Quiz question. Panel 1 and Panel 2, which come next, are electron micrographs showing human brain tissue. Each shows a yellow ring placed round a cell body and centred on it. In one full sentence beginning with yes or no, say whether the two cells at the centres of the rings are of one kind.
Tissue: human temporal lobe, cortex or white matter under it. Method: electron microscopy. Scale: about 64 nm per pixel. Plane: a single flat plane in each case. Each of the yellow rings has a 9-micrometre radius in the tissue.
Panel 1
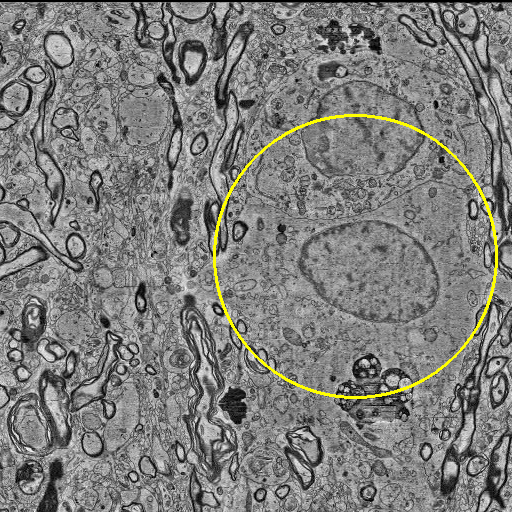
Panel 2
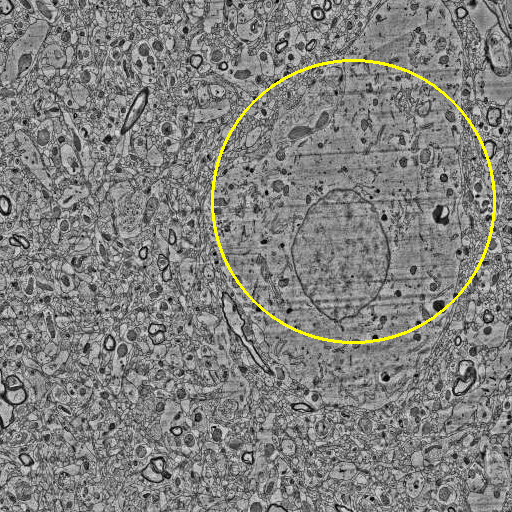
No, Panel 1 and Panel 2 show two kinds of cell at the centre of the ring.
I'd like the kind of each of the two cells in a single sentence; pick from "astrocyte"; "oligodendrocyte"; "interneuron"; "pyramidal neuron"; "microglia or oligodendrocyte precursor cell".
The first ring marks an astrocyte, and the second ring marks a pyramidal neuron.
